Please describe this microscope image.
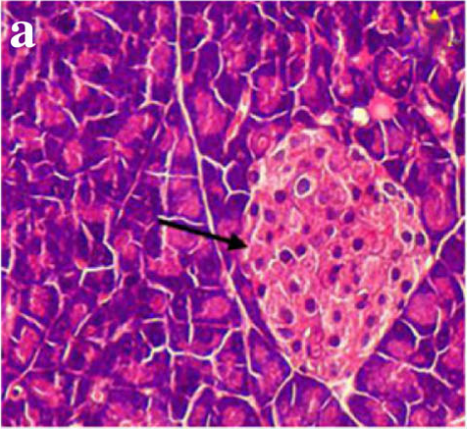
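This section of pancreas shows a pancreatic islet lying within exocrine acinar tissue. The islet forms a large, oval, pale pink mass of closely packed polygonal cells with round, centrally placed dark nuclei and lightly stained cytoplasm. A thin rim separates it from the surrounding acini. The acinar cells around it stain a deeper purple-pink and are grouped into small clusters. Thin pale clefts of connective tissue run between the lobules.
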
